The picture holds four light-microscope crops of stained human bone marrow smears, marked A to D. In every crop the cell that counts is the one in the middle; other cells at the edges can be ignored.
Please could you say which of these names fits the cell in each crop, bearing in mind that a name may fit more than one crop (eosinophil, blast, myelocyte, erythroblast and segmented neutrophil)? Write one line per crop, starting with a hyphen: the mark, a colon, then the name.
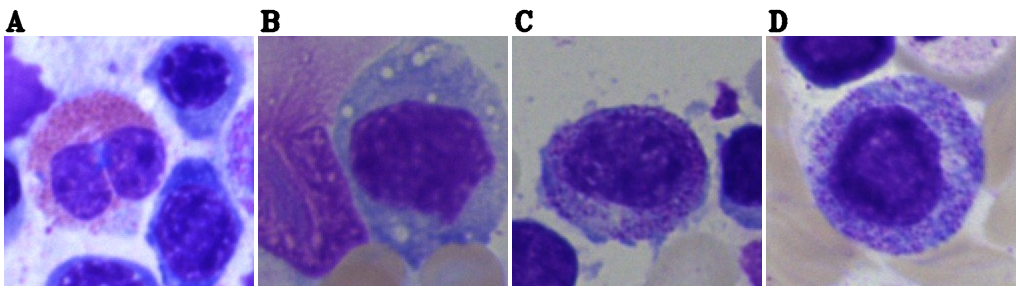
- A: eosinophil
- B: blast
- C: myelocyte
- D: myelocyte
